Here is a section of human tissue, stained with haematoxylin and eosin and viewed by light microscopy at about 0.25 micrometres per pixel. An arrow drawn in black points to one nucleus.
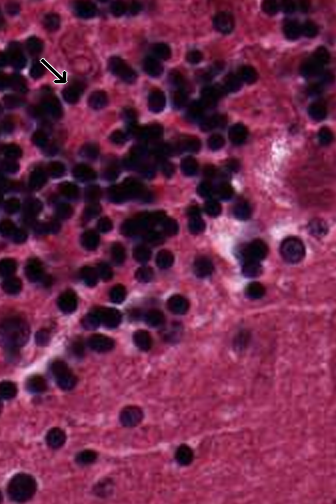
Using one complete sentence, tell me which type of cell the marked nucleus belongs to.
A nucleus belonging to a cerebellar granule cell is the one marked.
